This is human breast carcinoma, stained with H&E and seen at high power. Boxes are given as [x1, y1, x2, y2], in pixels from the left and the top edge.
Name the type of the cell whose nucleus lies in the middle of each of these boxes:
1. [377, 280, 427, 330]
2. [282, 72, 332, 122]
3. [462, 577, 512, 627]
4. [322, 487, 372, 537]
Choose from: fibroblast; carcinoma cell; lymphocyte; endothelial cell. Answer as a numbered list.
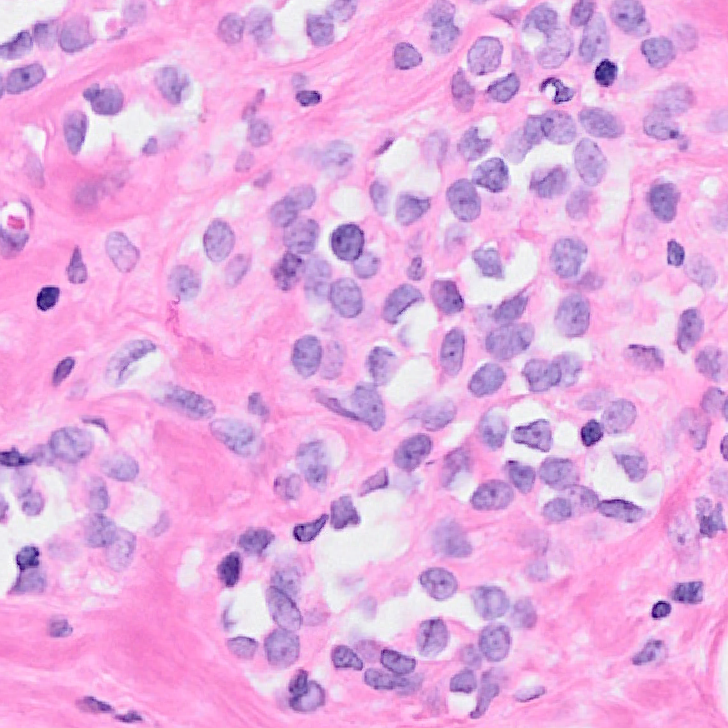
1. carcinoma cell
2. lymphocyte
3. carcinoma cell
4. carcinoma cell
